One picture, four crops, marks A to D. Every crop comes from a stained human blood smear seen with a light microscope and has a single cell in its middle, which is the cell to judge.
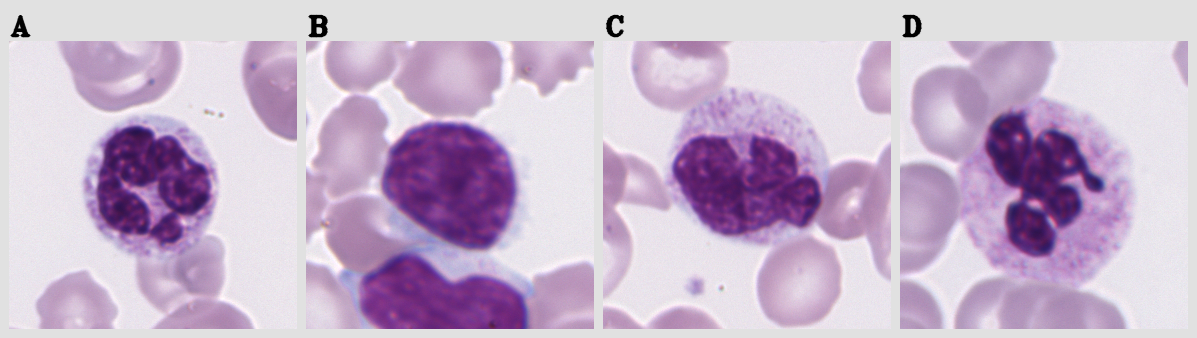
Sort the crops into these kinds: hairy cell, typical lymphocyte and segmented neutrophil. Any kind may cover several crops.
A: segmented neutrophil
B: hairy cell
C: segmented neutrophil
D: segmented neutrophil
